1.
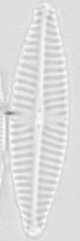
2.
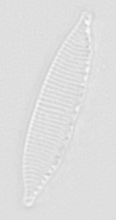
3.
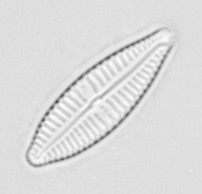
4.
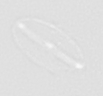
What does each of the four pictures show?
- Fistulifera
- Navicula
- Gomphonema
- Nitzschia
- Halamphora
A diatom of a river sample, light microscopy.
1: Navicula
2: Nitzschia
3: Gomphonema
4: Fistulifera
